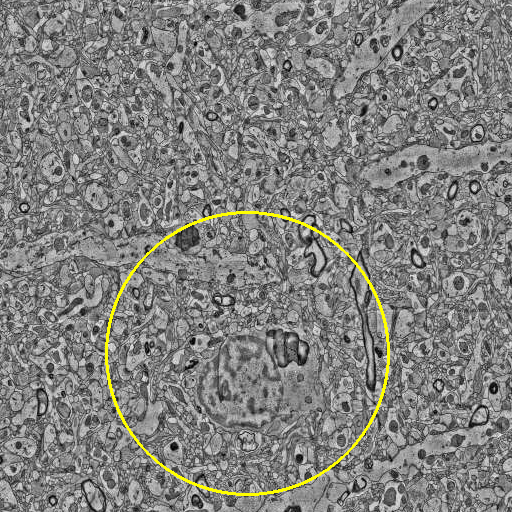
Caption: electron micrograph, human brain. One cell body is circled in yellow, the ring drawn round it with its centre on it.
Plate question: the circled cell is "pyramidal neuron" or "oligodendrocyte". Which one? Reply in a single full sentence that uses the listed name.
The yellow ring on the plate is centred on an oligodendrocyte, going by the listed names.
